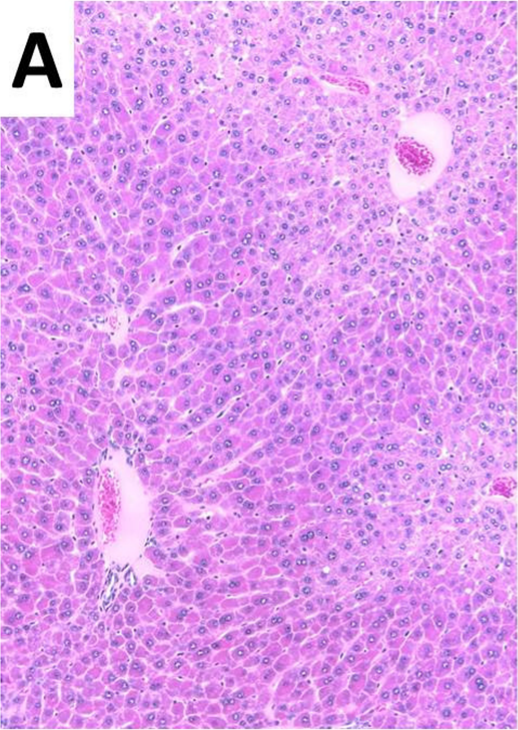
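This is liver parenchyma made of hepatocytes: large polygonal cells with pink cytoplasm and round, centrally placed nuclei, some cells holding two nuclei. The hepatocytes are arranged in plates that run toward small veins, and these veins contain red blood cells. Thin pale sinusoidal spaces separate the plates.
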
